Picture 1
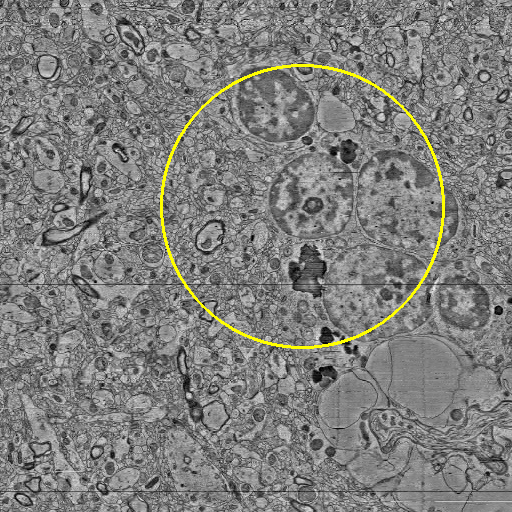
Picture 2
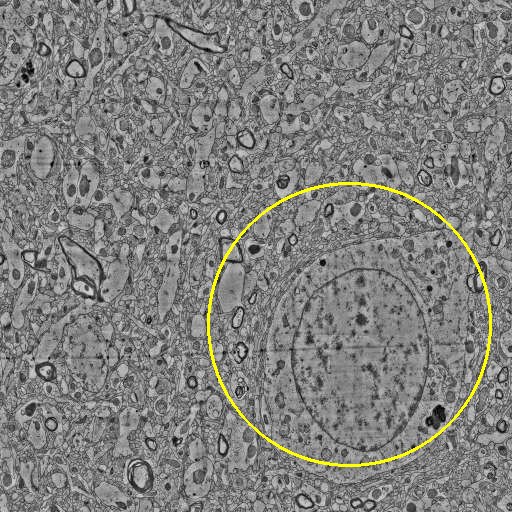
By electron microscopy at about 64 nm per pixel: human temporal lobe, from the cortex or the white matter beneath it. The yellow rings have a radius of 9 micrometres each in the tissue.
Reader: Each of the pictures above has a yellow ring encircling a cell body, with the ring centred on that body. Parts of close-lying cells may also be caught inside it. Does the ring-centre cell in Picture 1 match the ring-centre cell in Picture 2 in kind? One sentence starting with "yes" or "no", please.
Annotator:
No, Picture 1 and Picture 2 show ring-centre cells of two kinds.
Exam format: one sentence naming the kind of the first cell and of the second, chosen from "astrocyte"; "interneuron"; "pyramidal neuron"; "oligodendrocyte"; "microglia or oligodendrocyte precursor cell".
The first picture's cell is an oligodendrocyte, and the second picture's cell is a pyramidal neuron.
